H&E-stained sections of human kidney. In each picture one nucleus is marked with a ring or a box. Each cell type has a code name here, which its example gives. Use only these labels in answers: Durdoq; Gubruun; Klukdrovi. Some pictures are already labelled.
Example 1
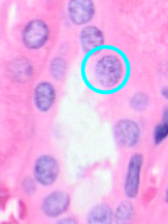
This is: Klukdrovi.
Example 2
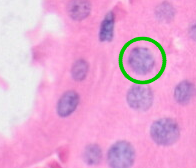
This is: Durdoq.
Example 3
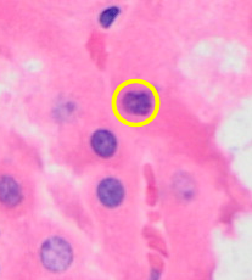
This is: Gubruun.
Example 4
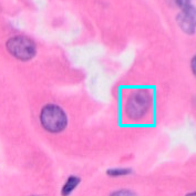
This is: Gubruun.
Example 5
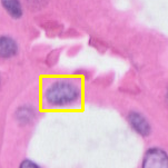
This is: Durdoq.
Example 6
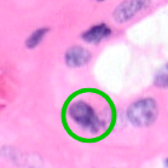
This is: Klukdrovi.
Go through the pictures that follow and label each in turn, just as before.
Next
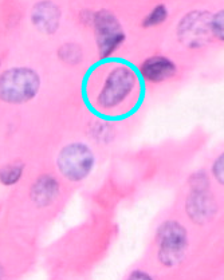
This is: Klukdrovi.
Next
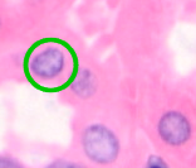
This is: Durdoq.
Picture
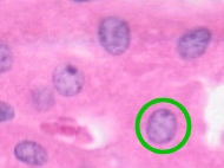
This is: Gubruun.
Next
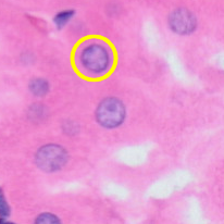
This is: Gubruun.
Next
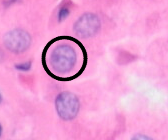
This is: Gubruun.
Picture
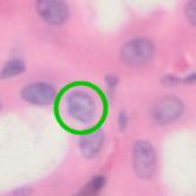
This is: Klukdrovi.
